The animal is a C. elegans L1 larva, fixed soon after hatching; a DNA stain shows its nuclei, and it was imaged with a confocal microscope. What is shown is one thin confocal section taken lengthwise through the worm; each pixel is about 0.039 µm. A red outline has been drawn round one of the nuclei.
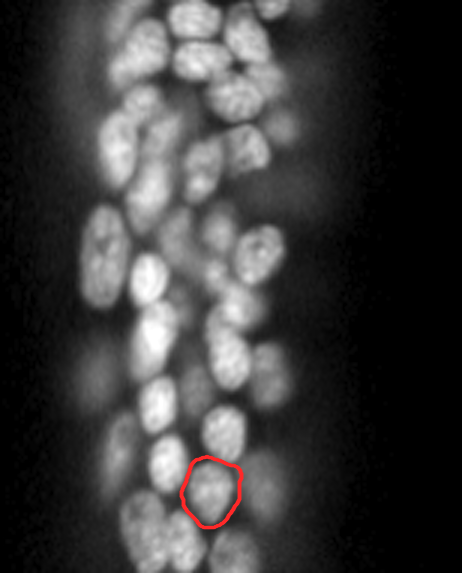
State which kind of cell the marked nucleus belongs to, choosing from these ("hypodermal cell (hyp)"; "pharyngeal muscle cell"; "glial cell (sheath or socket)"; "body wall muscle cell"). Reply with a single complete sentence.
What is marked is the nucleus of a hypodermal cell (hyp).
